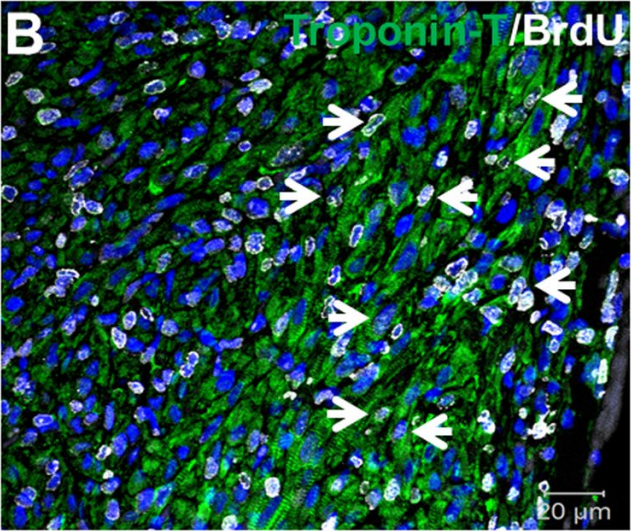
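Cardiac muscle tissue with elongated, parallel muscle cells filled with green cytoplasm, some faintly cross-striated, running obliquely across the field. Numerous small blue nuclei are scattered between and within the cells. The tissue is crowded, with closely set nuclei and little space between cells.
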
